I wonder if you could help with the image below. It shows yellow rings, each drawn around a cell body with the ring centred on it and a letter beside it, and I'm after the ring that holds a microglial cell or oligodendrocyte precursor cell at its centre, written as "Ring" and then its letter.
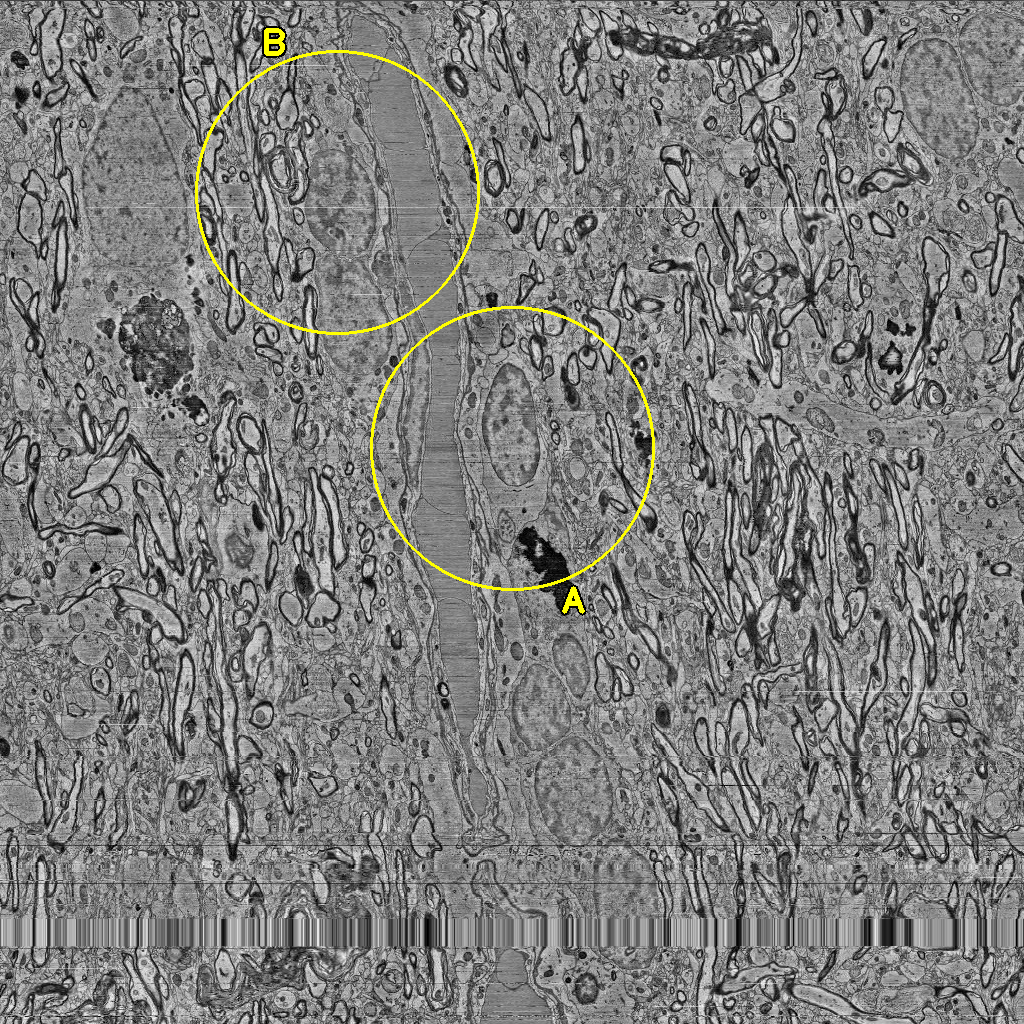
Ring A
